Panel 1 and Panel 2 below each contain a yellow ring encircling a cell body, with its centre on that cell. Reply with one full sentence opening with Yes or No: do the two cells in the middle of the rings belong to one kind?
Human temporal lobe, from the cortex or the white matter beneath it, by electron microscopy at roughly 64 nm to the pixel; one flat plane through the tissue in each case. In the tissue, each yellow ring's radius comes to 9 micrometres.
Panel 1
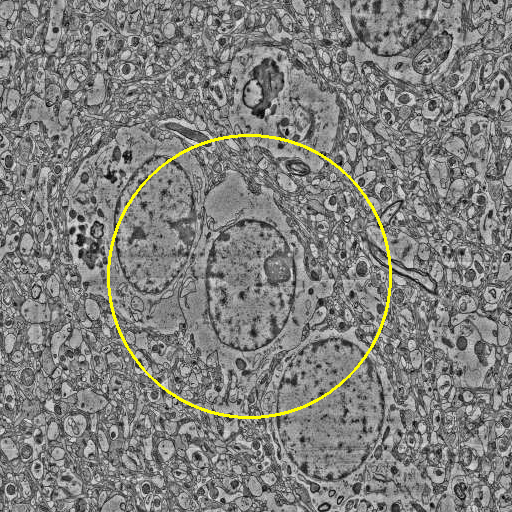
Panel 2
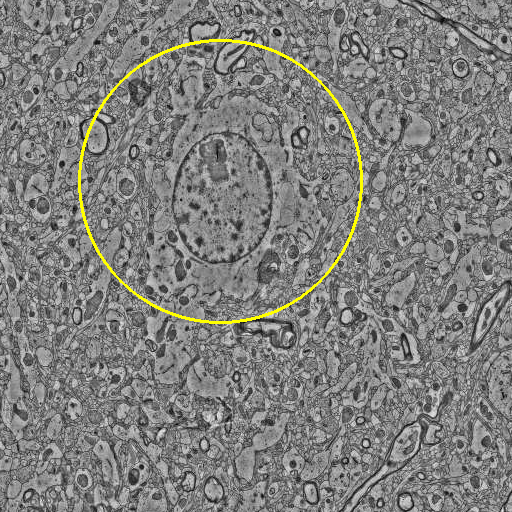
Yes, the cells at the middle of the Panel 1 ring and the Panel 2 ring are of one kind.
